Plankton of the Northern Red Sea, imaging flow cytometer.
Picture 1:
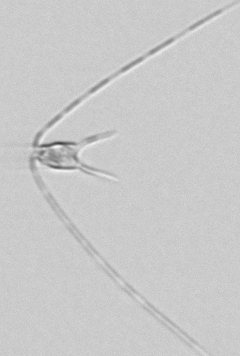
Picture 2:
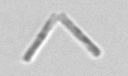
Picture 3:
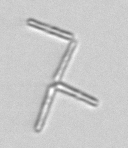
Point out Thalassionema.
That is picture 3.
